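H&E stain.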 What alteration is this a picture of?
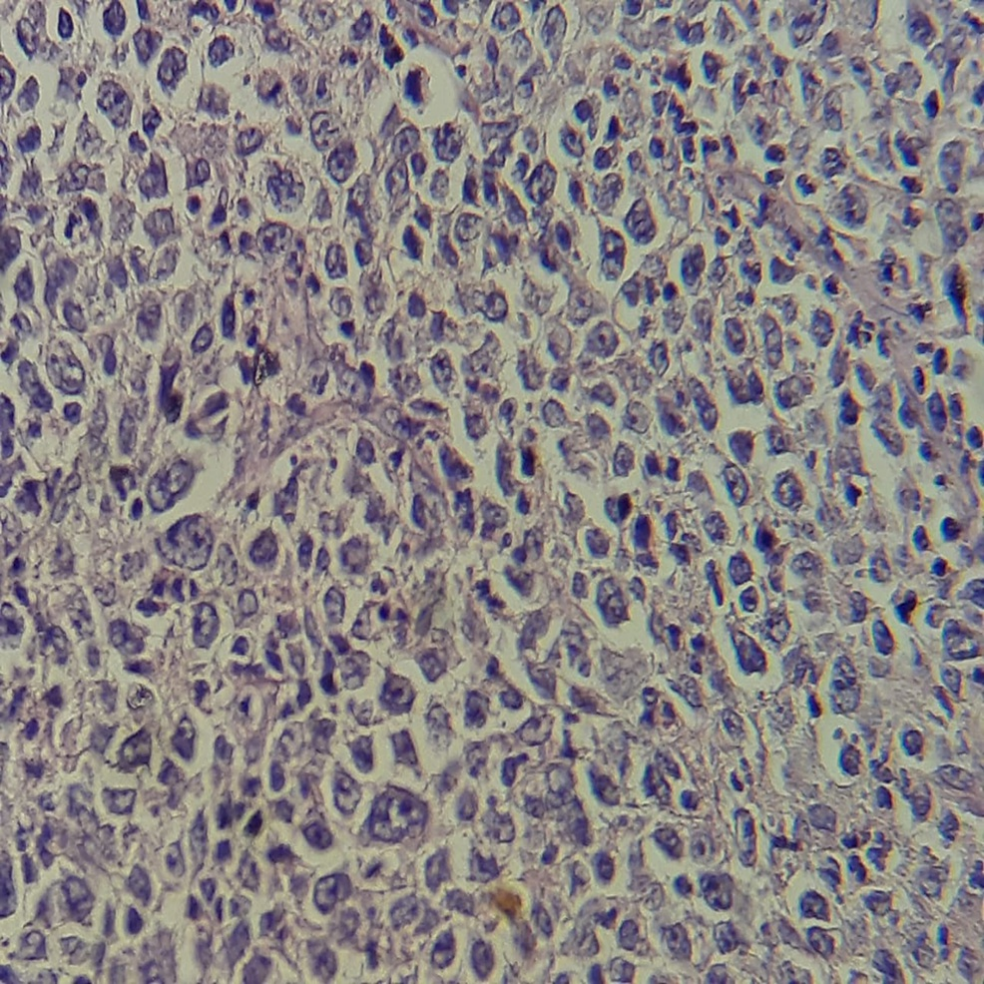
diffuse proliferation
